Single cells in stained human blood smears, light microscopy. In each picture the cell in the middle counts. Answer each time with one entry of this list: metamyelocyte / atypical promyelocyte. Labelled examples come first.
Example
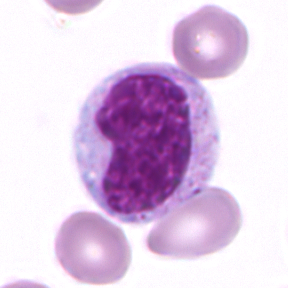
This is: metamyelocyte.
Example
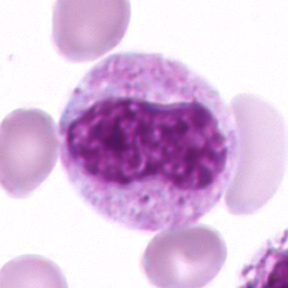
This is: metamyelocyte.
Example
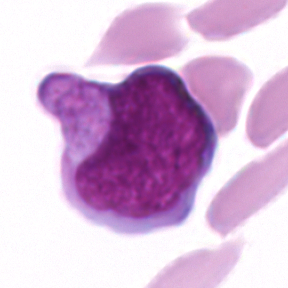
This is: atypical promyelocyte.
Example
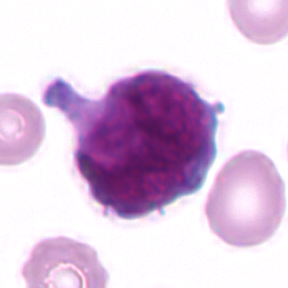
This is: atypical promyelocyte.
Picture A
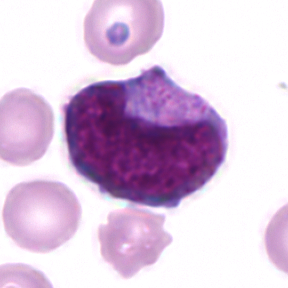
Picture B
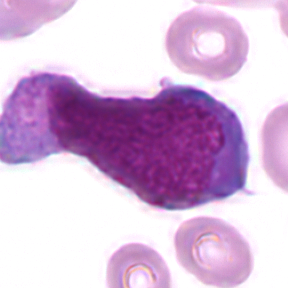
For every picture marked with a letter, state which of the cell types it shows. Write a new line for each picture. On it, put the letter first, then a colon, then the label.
A: atypical promyelocyte.
B: atypical promyelocyte.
